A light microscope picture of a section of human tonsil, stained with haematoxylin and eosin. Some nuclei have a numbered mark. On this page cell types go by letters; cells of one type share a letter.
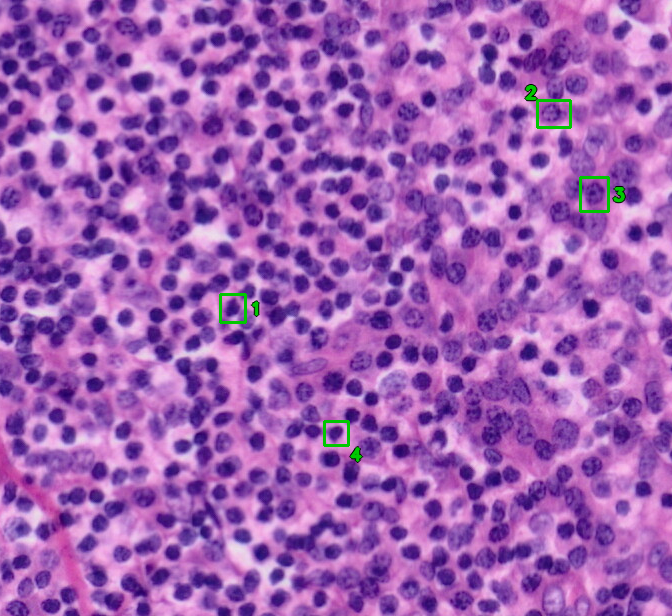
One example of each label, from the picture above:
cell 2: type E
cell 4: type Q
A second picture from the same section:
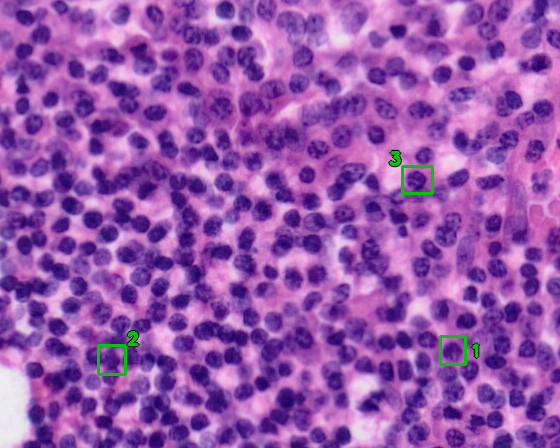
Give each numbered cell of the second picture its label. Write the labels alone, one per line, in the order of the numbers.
type E
type Q
type E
